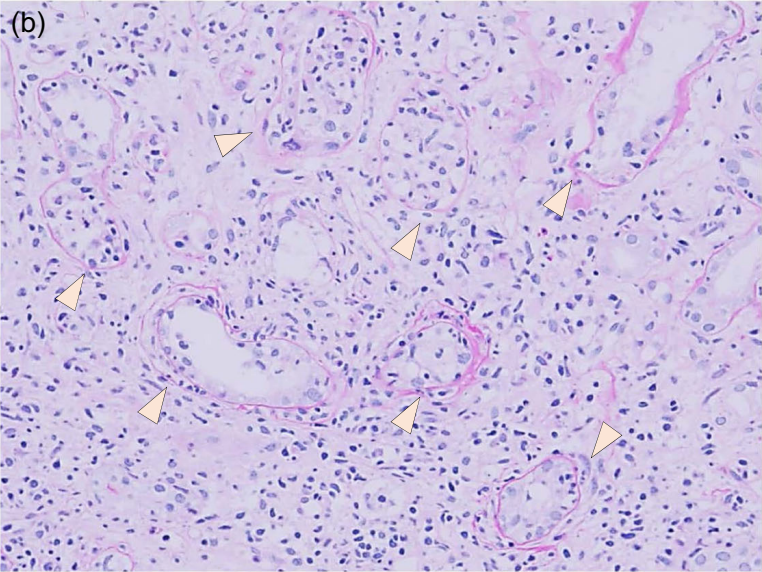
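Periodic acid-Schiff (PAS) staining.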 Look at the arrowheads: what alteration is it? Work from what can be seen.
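Tubulitis. The arrowheads point at tubules outlined by magenta basement membranes. Small dark round nuclei lie within and along the tubular walls. The interstitium between tubules is crowded with small round nuclei.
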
